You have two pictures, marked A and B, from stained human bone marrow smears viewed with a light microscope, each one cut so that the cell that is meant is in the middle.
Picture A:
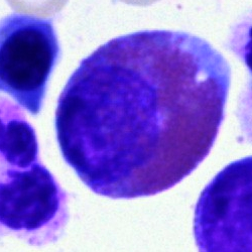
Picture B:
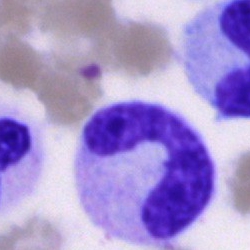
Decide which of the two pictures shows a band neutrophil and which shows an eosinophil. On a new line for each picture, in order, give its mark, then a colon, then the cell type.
A: eosinophil
B: band neutrophil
